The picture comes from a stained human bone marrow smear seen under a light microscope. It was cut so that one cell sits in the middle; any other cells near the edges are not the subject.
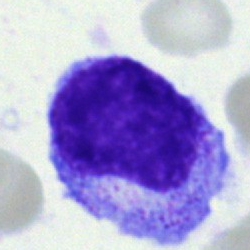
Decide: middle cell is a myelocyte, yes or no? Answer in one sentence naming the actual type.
Yes, the middle cell is classified as a myelocyte.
